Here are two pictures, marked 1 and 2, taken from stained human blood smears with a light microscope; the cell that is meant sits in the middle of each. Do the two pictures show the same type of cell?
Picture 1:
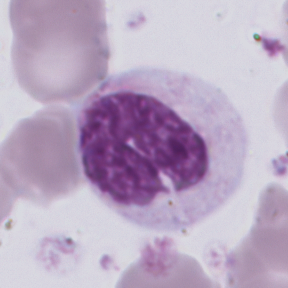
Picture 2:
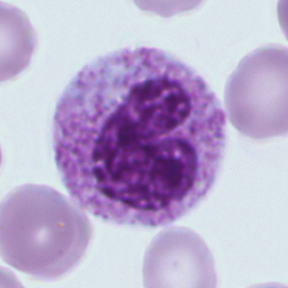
yes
